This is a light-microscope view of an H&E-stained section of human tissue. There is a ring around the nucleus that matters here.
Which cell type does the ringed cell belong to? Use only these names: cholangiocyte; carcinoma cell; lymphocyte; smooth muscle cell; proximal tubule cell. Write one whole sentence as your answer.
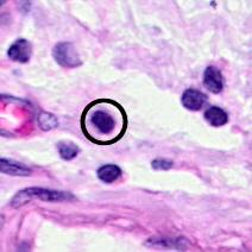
The ringed cell is a lymphocyte.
